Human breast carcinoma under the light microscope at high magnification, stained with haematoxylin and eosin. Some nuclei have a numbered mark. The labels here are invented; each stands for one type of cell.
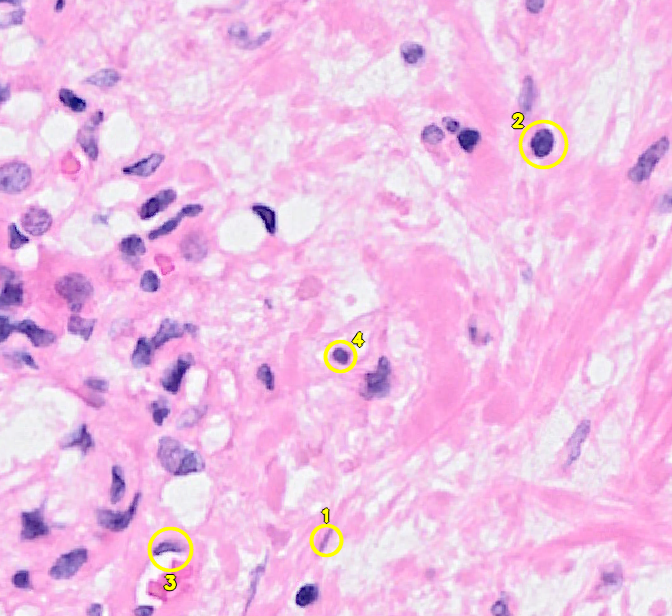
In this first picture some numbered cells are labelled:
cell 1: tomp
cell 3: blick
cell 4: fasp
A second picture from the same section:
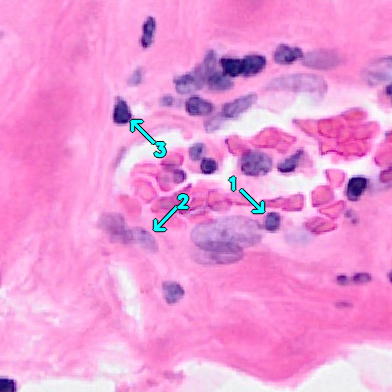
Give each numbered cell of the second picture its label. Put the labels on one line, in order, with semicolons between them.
blick; blick; fasp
